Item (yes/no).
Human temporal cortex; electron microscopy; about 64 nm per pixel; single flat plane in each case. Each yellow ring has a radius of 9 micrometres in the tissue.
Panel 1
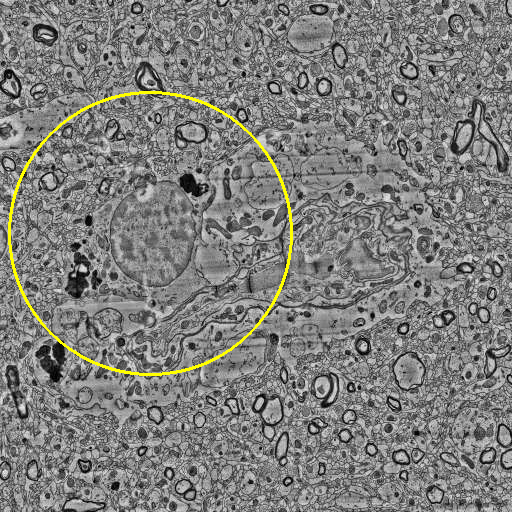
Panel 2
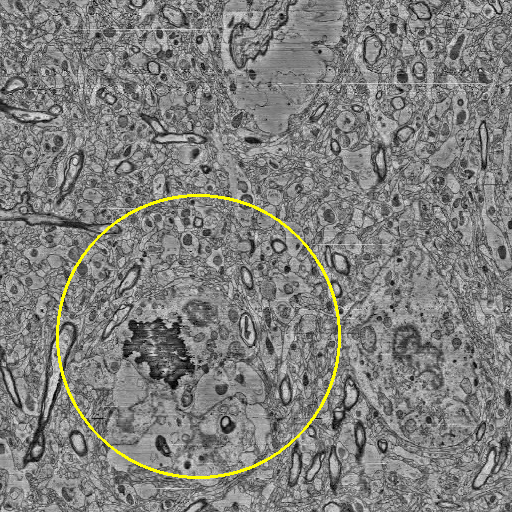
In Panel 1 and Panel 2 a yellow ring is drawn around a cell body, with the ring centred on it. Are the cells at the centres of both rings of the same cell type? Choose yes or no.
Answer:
yes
